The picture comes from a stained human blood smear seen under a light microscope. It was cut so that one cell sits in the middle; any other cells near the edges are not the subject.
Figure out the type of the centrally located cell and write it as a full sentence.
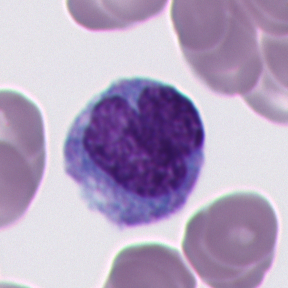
This particular crop is centered on a monocyte.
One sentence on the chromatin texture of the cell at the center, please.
You can see that its chromatin is coarsely clumped.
